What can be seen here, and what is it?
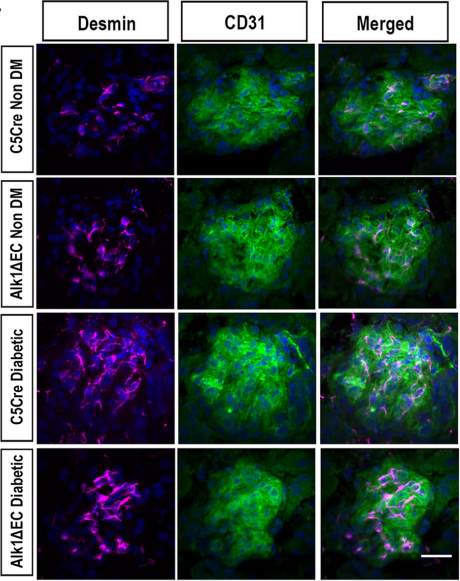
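These are renal glomeruli, seen as rounded, densely cellular clusters filled with green stain. Blue nuclei lie throughout the clusters. Scattered thin magenta strands and patches run through the tufts, and in the merged images they overlap the green in places.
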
